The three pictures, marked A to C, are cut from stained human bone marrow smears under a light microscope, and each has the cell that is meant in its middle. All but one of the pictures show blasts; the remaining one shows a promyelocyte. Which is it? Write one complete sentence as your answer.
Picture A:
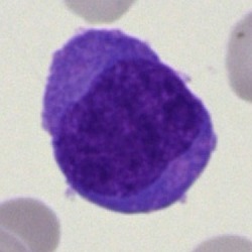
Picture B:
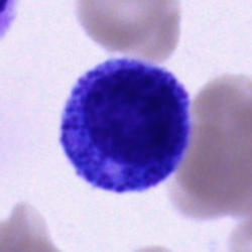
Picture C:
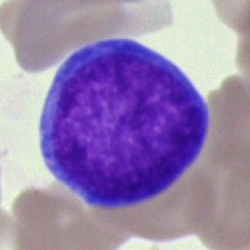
The promyelocyte is the one in picture B.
